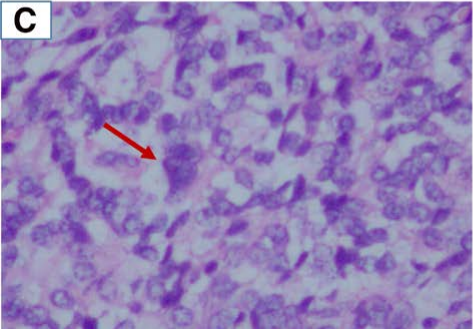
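Tumor cells lie in a loose sheet, each with little pale cytoplasm around an oval to irregular nucleus. Clear spaces separate many of the cells.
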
